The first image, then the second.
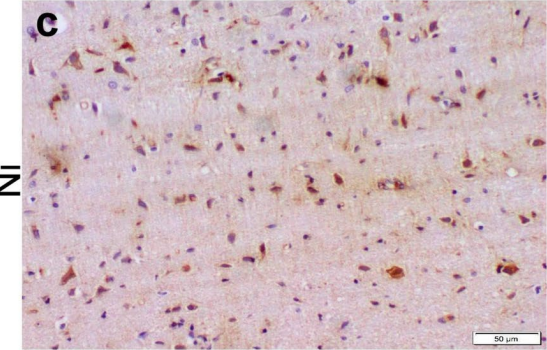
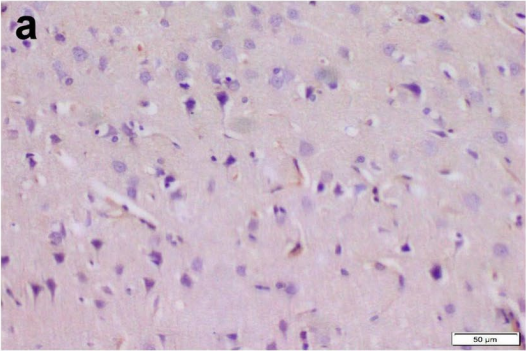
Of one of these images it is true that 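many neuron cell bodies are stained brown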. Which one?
the first image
